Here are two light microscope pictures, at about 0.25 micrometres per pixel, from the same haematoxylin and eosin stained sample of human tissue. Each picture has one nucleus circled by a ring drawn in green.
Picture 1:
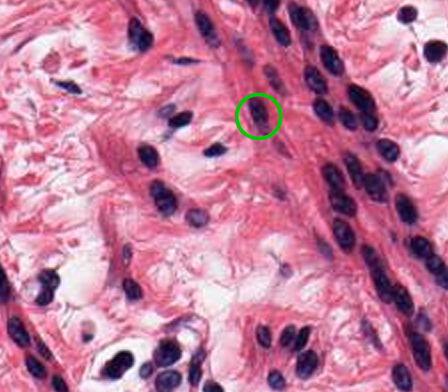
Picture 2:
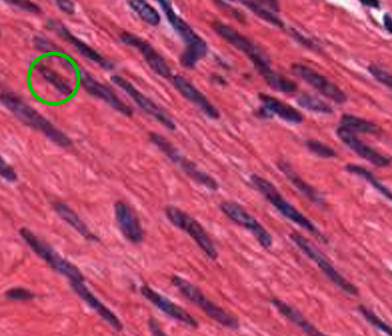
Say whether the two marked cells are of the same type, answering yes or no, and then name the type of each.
Yes, both are smooth muscle cells.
